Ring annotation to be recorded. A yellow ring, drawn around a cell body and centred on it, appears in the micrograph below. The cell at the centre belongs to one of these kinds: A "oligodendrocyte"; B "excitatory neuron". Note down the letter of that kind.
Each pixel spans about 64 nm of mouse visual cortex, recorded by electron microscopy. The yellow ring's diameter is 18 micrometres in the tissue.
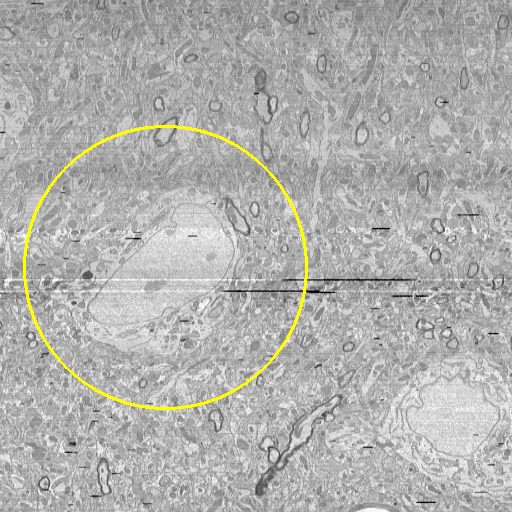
B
